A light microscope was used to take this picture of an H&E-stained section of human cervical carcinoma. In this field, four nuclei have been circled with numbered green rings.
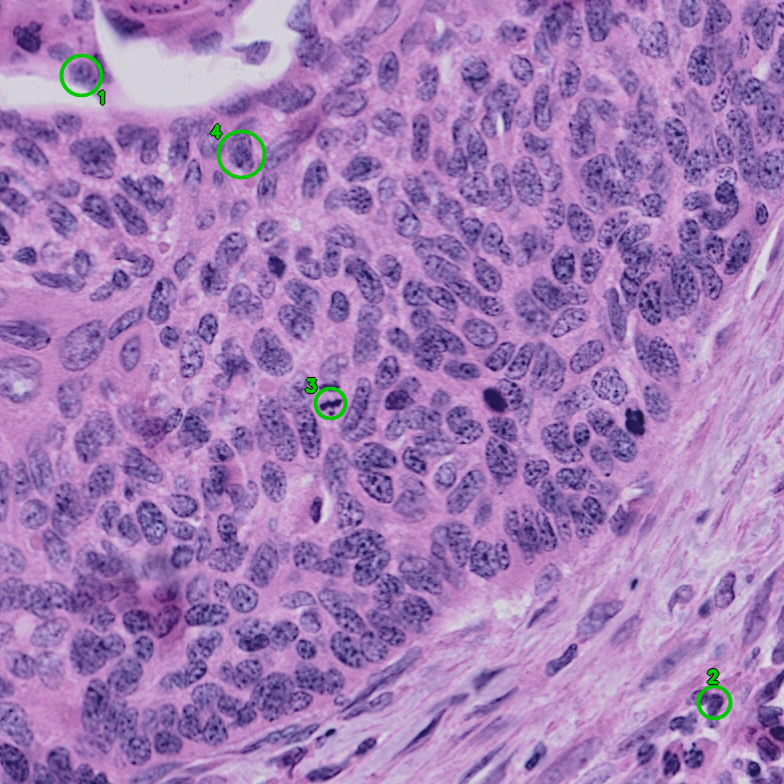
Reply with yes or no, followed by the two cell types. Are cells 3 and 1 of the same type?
Yes, the pair formed by cells 3 and 1 consists of two squamous carcinoma cells.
